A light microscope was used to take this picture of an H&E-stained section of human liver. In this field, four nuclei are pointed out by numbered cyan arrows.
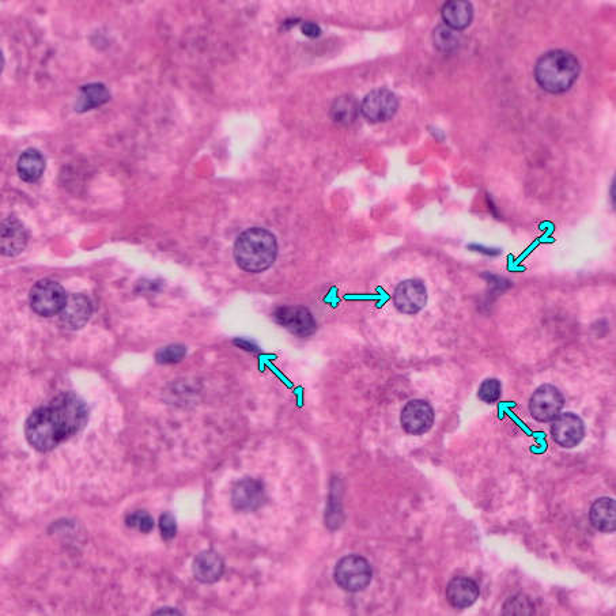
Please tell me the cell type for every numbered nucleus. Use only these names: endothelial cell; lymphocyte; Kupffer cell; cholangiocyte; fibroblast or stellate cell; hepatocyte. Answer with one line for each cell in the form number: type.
1: endothelial cell
2: fibroblast or stellate cell
3: lymphocyte
4: hepatocyte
